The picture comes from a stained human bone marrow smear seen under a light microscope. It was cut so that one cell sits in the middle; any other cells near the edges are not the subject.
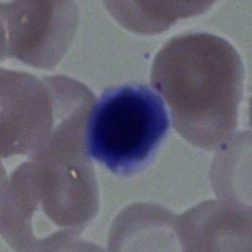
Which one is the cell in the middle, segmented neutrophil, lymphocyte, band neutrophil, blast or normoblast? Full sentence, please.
This crop is built around a normoblast at its centre.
